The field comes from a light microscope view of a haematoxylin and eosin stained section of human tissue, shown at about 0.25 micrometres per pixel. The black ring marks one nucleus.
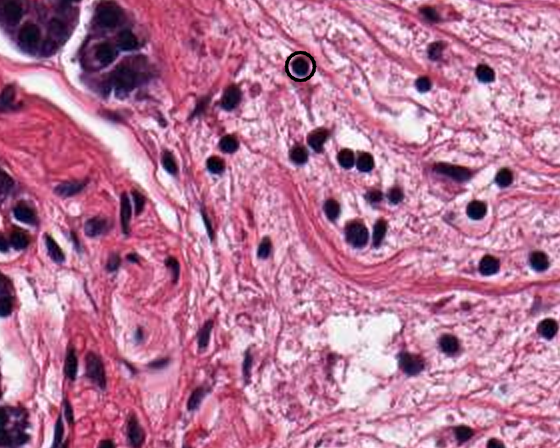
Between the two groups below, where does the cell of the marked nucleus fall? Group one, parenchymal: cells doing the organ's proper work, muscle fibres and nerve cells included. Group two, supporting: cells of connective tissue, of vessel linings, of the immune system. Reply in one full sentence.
Housed within a supporting cell is the marked nucleus.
